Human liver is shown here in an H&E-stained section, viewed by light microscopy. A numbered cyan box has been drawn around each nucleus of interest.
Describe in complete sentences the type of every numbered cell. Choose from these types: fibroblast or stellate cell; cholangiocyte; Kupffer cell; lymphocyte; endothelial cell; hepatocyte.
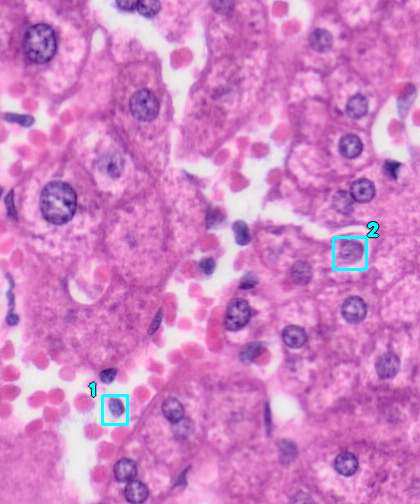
Cell 1 is a lymphocyte. Cell 2 is a hepatocyte.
